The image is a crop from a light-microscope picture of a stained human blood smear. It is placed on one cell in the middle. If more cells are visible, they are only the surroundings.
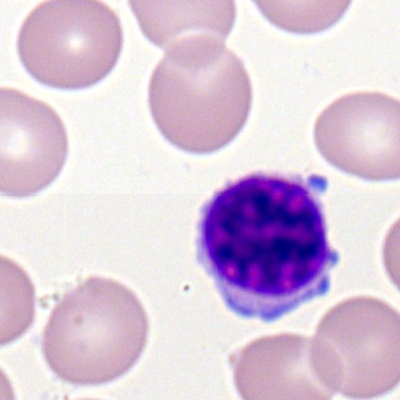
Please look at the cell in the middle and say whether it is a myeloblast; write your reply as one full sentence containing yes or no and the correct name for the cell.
No, the cell in the centre of the crop is a lymphocyte as opposed to a myeloblast.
